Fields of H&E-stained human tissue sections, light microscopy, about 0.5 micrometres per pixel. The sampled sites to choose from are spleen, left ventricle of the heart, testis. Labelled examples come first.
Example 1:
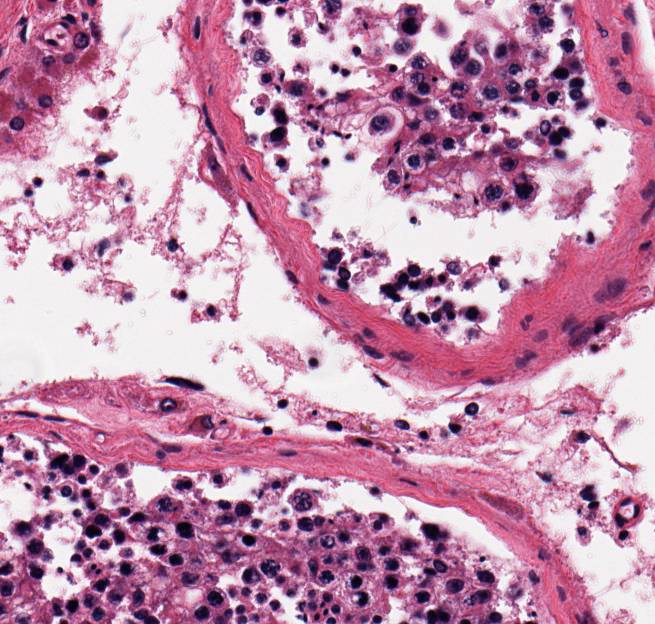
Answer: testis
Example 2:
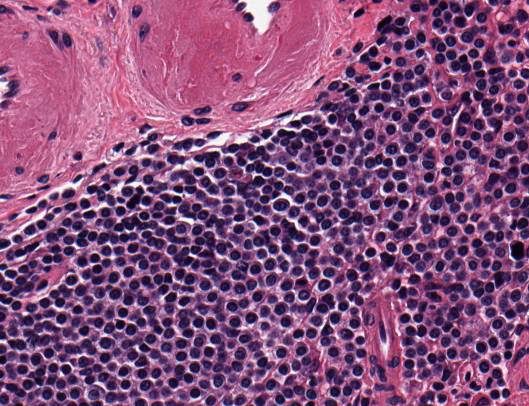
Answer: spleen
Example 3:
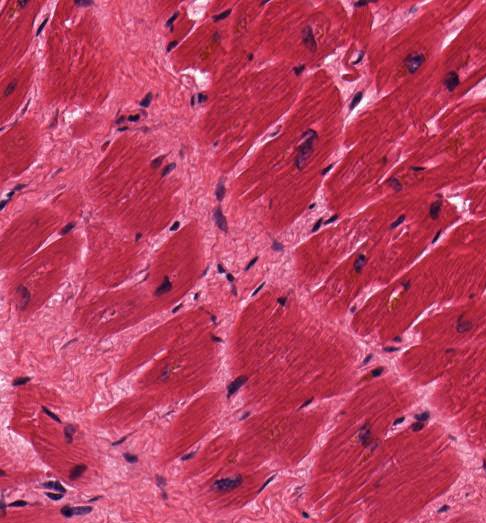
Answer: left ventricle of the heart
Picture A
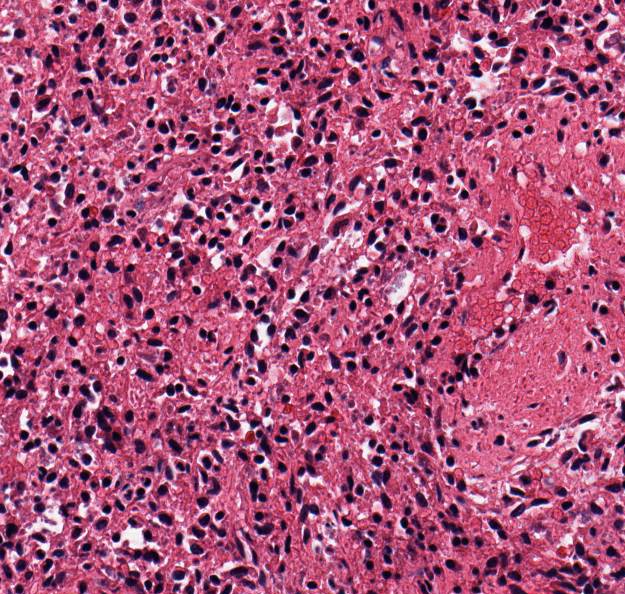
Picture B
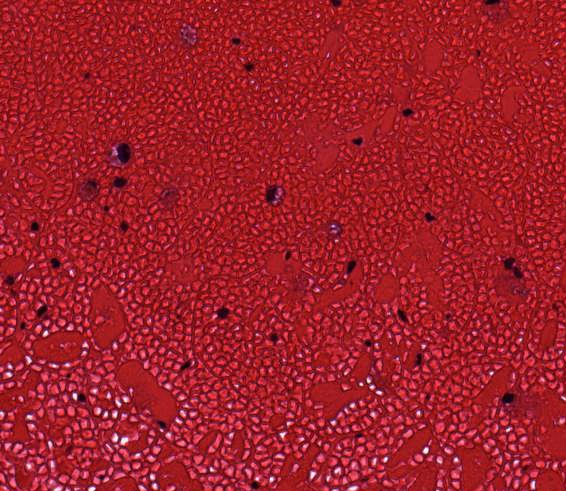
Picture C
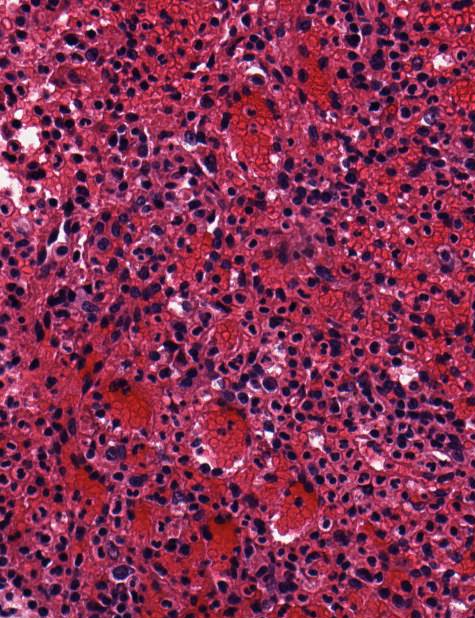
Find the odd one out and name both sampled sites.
B: left ventricle of the heart; all the others: spleen.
